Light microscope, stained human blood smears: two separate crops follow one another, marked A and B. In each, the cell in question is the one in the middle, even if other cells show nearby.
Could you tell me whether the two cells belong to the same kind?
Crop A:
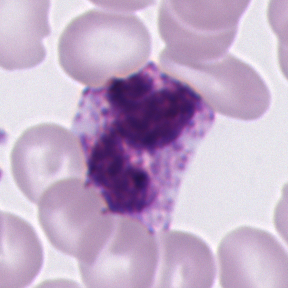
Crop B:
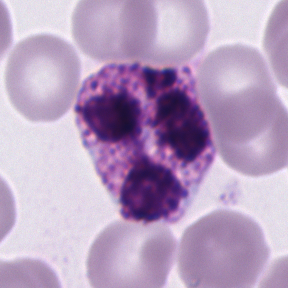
yes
